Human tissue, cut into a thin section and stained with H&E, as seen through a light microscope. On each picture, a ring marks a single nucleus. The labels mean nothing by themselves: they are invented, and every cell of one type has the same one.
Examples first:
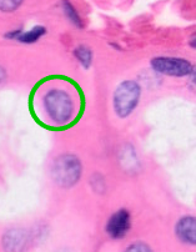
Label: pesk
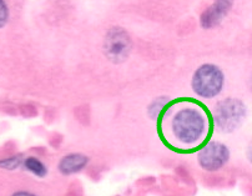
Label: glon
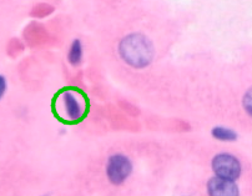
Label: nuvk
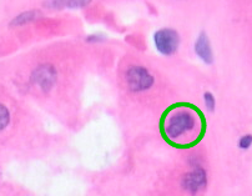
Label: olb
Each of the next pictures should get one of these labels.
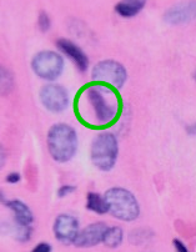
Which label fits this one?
glon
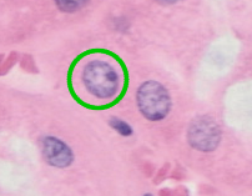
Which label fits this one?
olb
